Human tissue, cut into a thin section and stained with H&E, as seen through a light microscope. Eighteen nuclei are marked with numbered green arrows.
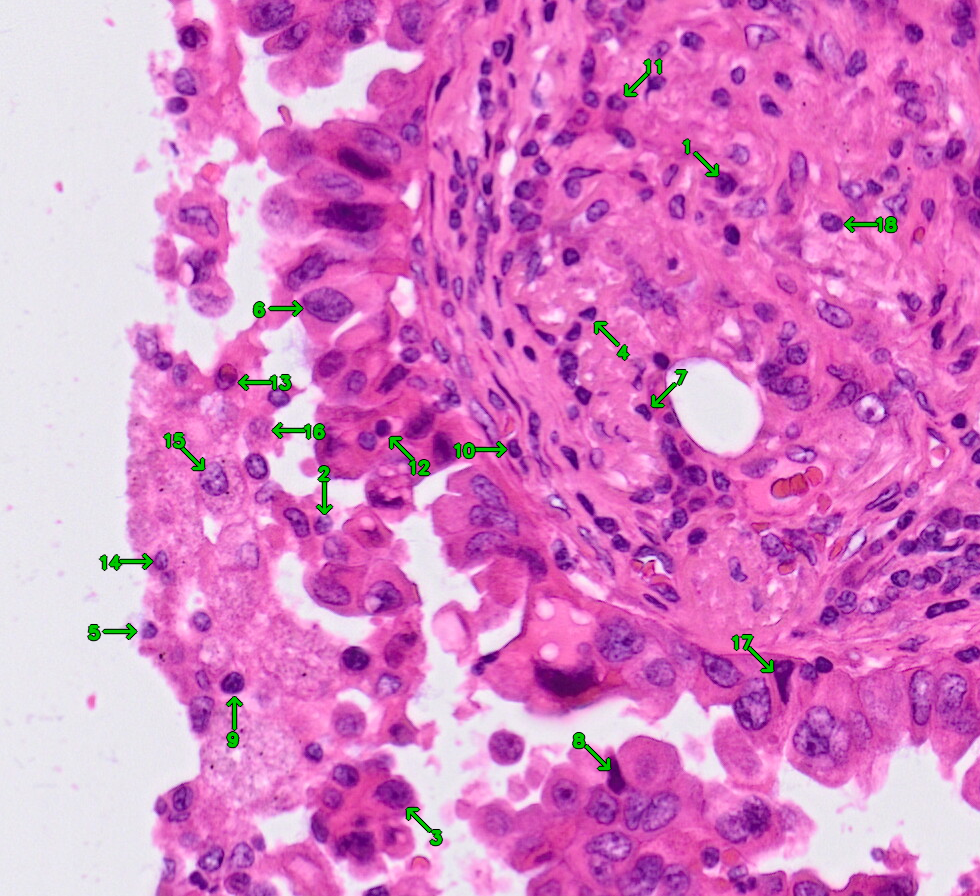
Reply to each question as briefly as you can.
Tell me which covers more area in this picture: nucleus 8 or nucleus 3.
3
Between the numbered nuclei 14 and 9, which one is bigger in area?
9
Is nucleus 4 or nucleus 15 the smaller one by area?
4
